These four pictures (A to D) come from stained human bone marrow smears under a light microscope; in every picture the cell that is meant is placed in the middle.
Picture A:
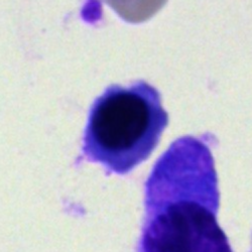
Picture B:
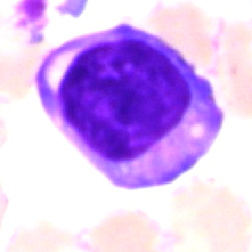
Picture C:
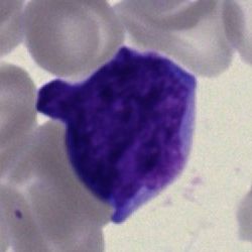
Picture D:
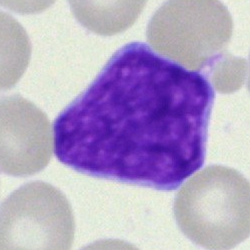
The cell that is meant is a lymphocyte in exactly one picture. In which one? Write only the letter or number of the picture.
B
